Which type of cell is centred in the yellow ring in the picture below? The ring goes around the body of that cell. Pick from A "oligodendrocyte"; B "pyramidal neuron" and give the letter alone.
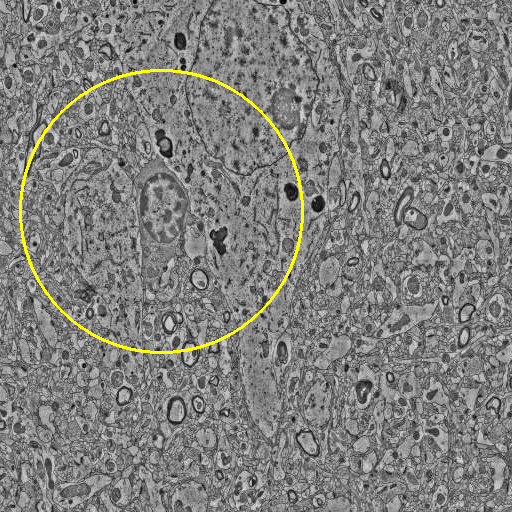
A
